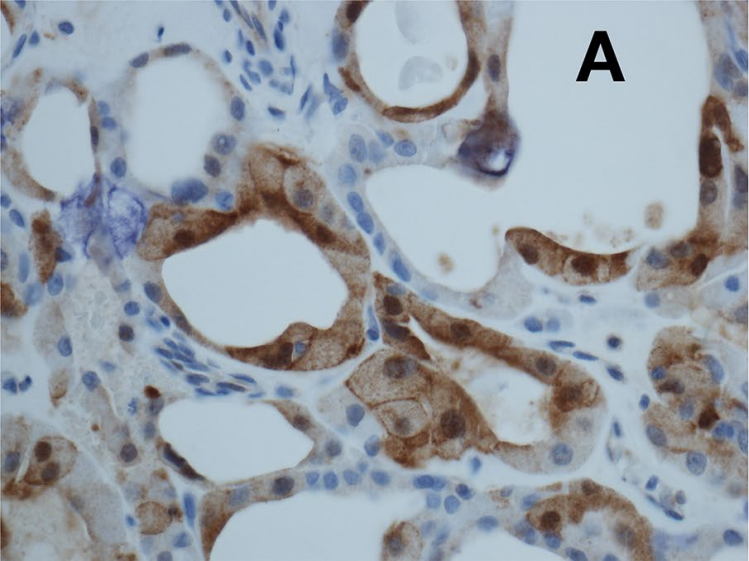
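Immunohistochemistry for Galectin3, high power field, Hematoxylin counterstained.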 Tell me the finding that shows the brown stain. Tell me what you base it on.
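Mosaic pattern. Brown-stained lining cells lie next to unstained, blue-nucleated lining cells around the same follicles. In the stained cells, both the cytoplasm and some nuclei are brown.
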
